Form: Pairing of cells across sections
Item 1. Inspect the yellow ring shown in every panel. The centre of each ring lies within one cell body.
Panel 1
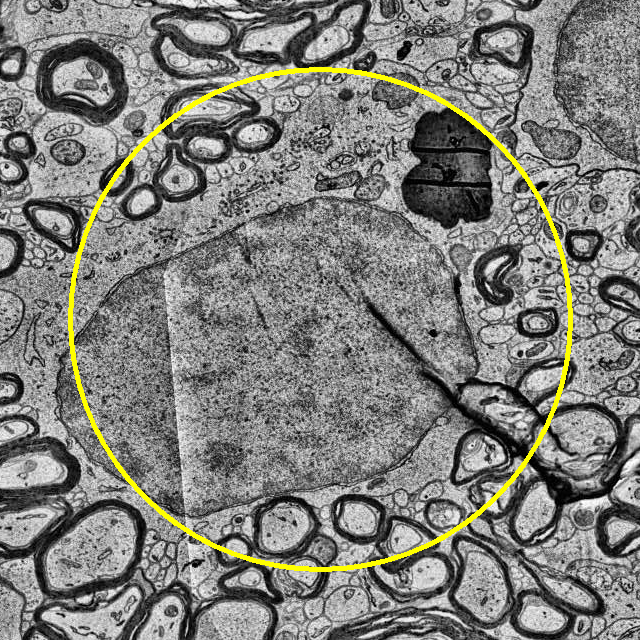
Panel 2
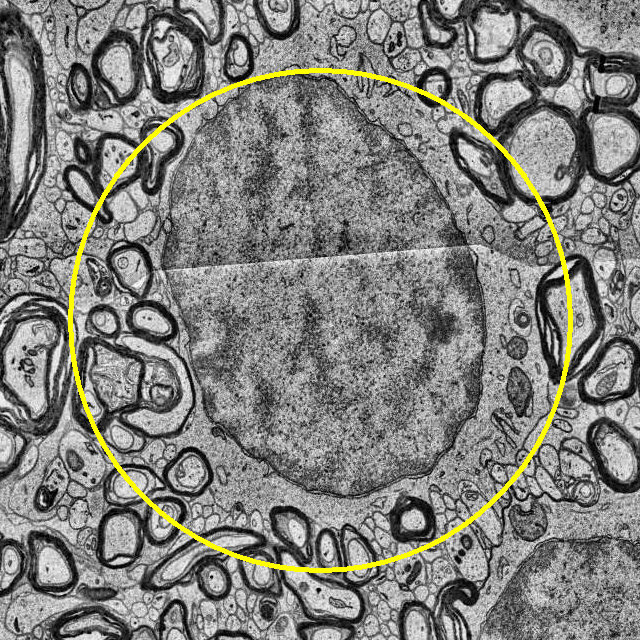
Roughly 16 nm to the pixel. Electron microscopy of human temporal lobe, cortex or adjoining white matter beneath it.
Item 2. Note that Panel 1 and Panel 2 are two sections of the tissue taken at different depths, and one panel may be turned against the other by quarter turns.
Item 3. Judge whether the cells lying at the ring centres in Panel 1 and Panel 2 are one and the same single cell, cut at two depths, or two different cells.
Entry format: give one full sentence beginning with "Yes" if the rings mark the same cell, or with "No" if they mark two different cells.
Yes, the two marked outlines come from one and the same cell.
